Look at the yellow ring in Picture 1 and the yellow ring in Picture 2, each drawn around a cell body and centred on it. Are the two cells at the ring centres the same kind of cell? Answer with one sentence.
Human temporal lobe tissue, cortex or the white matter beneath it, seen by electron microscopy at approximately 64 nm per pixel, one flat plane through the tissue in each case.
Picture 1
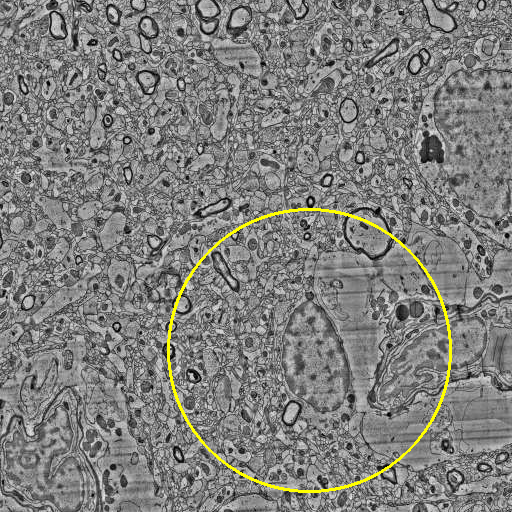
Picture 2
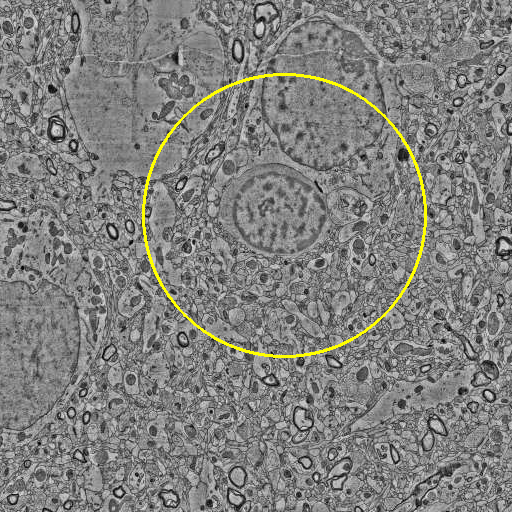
Yes, both are the same kind of cell.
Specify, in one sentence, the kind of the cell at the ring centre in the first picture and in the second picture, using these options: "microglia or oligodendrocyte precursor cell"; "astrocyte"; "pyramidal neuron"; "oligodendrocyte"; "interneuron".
In the first picture and in the second, the ring is centred on an oligodendrocyte.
